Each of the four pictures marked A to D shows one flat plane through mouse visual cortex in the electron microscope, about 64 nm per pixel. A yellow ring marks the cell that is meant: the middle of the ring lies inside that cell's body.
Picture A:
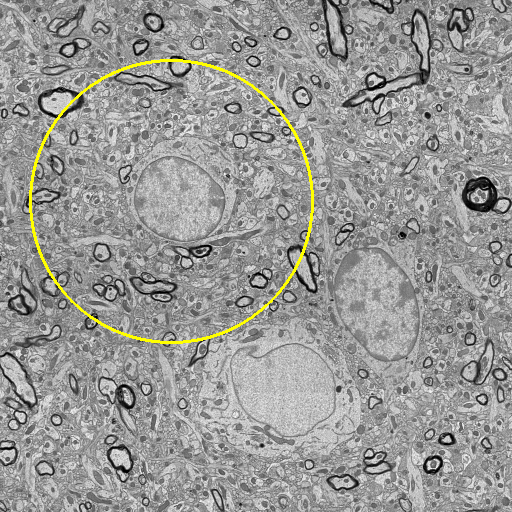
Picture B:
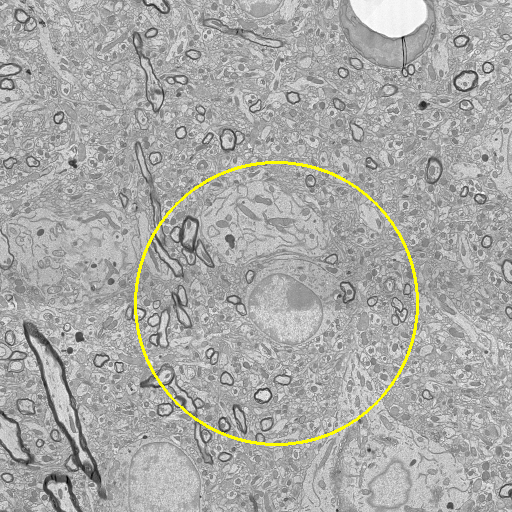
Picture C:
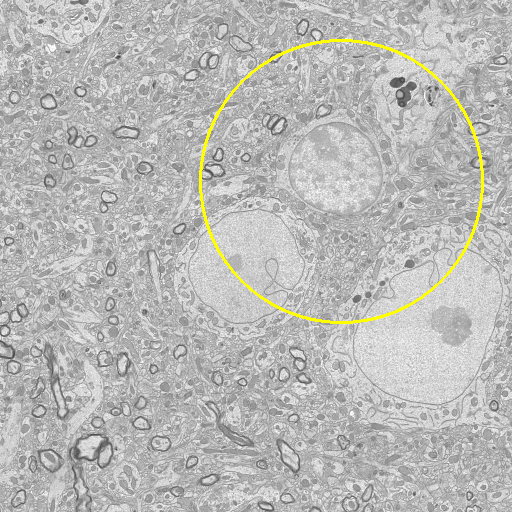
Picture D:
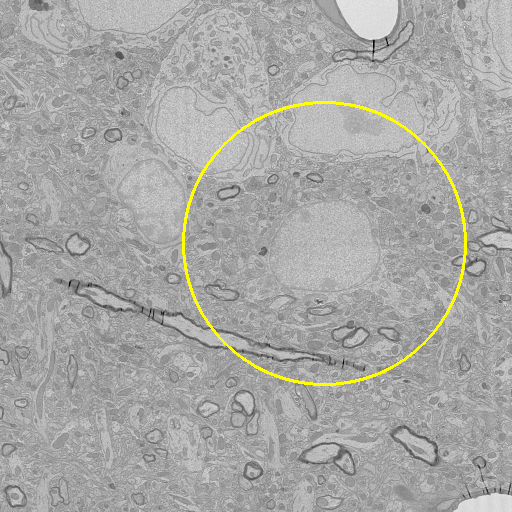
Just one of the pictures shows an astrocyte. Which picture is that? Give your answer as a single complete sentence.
Picture D shows the astrocyte.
